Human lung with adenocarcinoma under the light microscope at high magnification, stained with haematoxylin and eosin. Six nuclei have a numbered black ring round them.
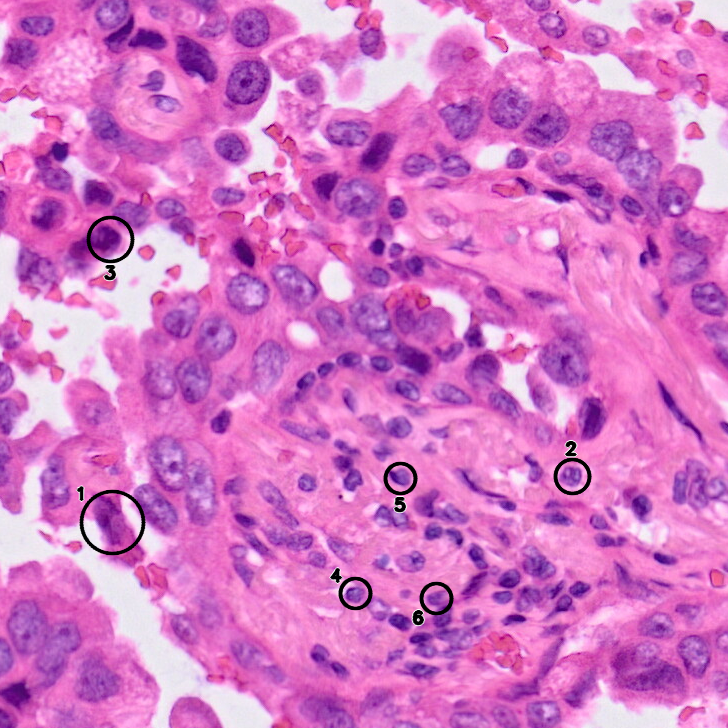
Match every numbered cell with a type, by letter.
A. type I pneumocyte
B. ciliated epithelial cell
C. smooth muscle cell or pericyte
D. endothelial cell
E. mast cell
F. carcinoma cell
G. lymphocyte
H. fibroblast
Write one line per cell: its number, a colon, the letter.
1: F
2: G
3: F
4: G
5: G
6: G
